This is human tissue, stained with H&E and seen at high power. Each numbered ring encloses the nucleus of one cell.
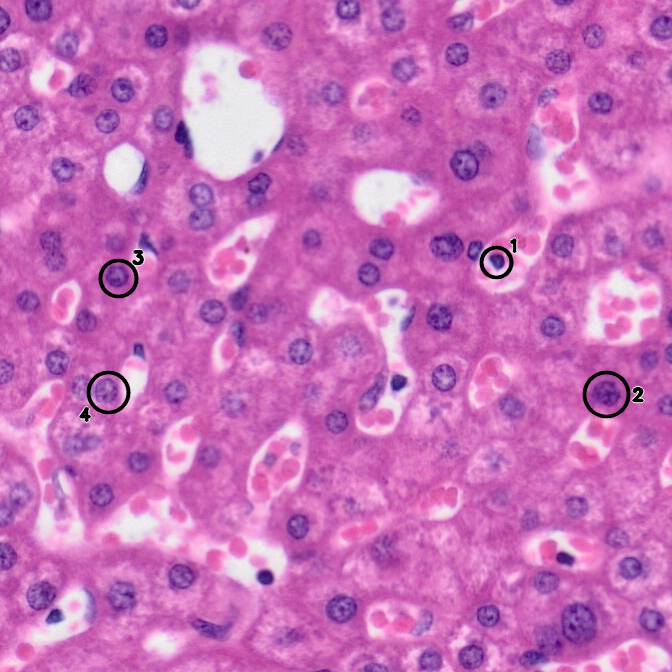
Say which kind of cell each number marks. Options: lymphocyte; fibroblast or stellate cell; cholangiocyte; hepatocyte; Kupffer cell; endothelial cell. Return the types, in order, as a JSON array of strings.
["lymphocyte", "hepatocyte", "hepatocyte", "hepatocyte"]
